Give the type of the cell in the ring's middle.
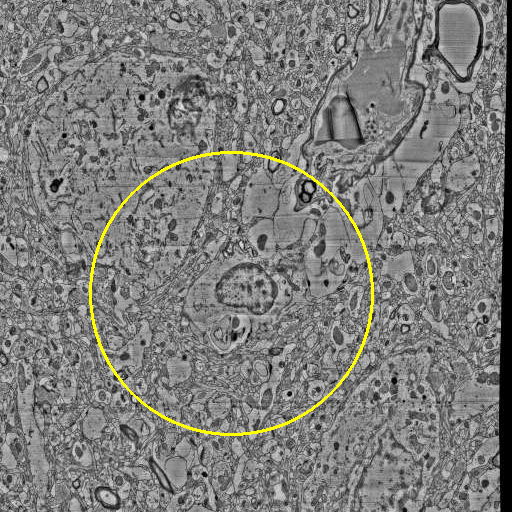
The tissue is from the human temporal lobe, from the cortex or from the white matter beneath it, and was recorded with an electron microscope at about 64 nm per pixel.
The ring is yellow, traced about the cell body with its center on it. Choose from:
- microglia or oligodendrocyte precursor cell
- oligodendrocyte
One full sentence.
Here, a microglial cell or oligodendrocyte precursor cell is the cell lying at the center of the yellow ring.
